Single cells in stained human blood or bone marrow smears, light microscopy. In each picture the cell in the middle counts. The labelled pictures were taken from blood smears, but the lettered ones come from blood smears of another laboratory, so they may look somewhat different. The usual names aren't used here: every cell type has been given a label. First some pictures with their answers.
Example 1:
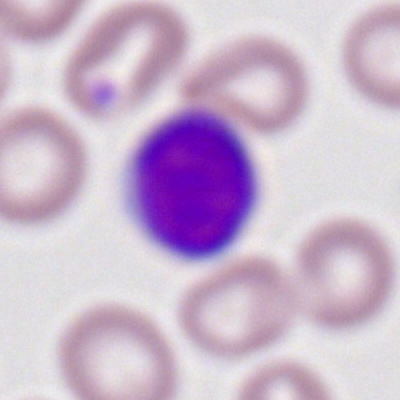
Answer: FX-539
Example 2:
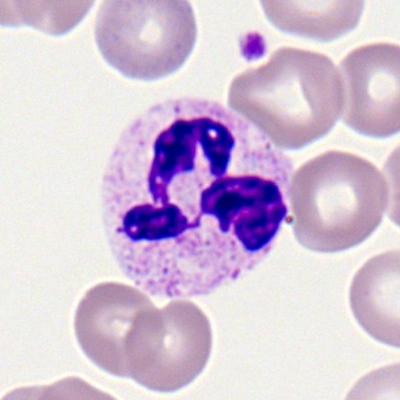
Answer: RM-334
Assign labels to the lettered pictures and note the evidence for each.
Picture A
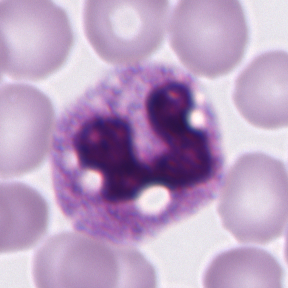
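Answer: RM-334. Abundant lilac-pink cytoplasm surrounds the nucleus.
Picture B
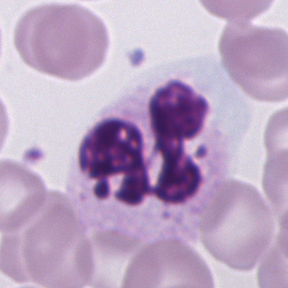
Answer: RM-334. The cytoplasm is plentiful and pale lilac-pink.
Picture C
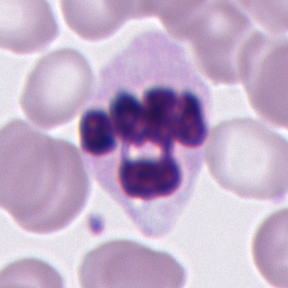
Answer: RM-334. The cytoplasm is plentiful and pale pinkish-lilac.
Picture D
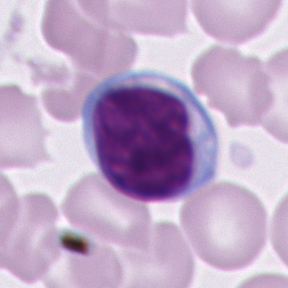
Answer: FX-539. The cytoplasm forms a narrow pale blue rim that is widest on the right side.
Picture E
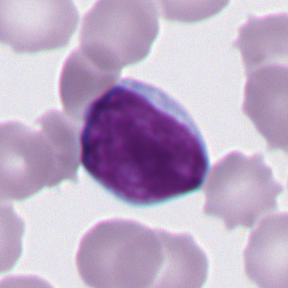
Answer: FX-539. The cytoplasm is a scant rim that is widest along the upper right side of the cell.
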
